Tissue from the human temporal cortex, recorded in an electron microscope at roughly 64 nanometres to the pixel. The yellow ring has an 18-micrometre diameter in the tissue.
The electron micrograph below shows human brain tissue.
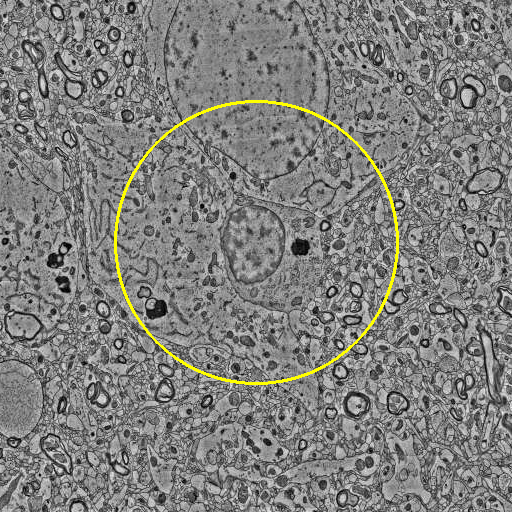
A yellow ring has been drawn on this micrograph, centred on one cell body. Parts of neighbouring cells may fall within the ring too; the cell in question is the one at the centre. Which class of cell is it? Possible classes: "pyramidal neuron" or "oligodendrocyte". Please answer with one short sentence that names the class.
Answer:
In the centre of the ring sits an oligodendrocyte.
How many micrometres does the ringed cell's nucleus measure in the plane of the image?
Approximately 5 x 4 micrometres in this plane.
